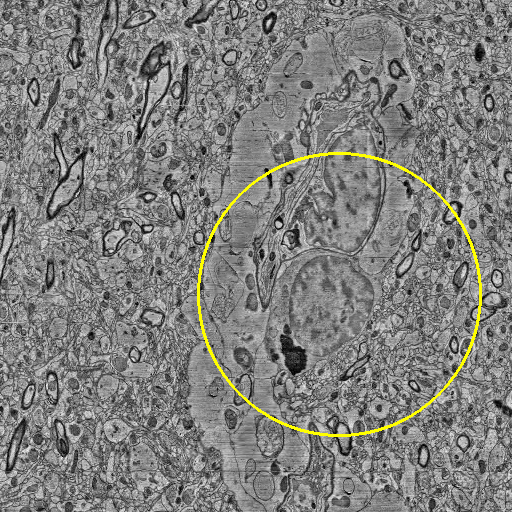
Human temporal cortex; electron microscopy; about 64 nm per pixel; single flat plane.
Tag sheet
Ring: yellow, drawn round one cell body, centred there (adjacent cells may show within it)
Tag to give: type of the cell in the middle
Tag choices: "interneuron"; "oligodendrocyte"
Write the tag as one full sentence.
I tag the cell centred in the yellow ring as an oligodendrocyte in this picture.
